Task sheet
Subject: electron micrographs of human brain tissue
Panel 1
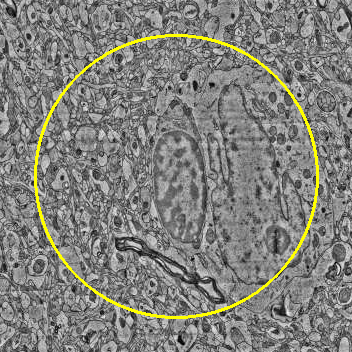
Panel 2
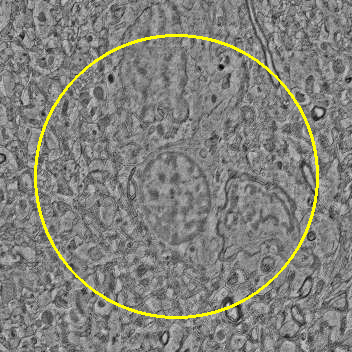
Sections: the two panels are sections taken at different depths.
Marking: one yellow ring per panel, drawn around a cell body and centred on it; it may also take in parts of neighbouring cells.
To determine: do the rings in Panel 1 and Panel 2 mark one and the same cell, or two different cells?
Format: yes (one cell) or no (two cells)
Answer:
no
